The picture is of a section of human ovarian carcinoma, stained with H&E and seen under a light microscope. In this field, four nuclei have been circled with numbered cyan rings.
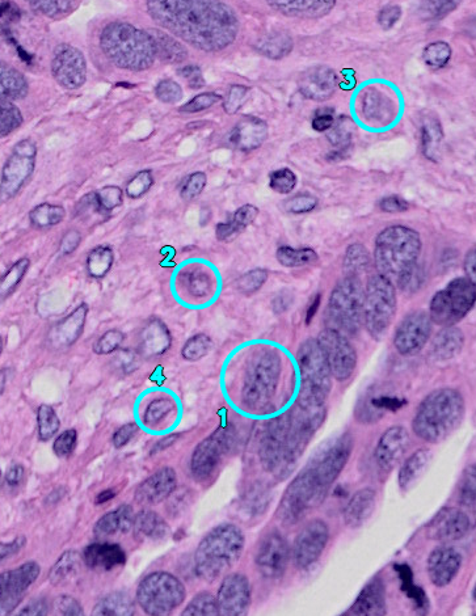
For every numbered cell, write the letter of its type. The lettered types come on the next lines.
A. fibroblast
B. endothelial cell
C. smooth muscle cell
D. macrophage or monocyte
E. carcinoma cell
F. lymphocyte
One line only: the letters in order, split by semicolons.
E; A; A; A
